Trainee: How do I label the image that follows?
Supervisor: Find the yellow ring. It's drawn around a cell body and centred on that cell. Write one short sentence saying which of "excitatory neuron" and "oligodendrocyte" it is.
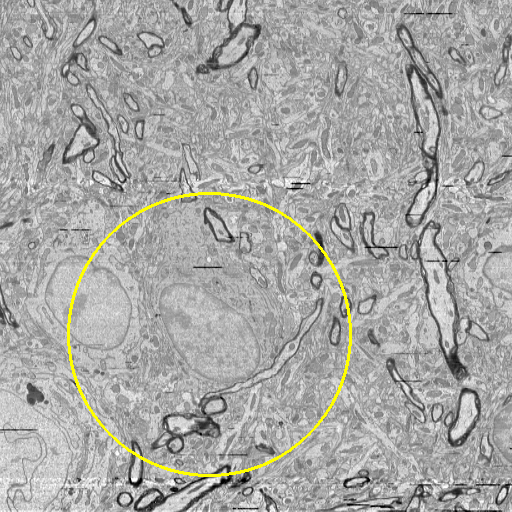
This is the cell body of an oligodendrocyte.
